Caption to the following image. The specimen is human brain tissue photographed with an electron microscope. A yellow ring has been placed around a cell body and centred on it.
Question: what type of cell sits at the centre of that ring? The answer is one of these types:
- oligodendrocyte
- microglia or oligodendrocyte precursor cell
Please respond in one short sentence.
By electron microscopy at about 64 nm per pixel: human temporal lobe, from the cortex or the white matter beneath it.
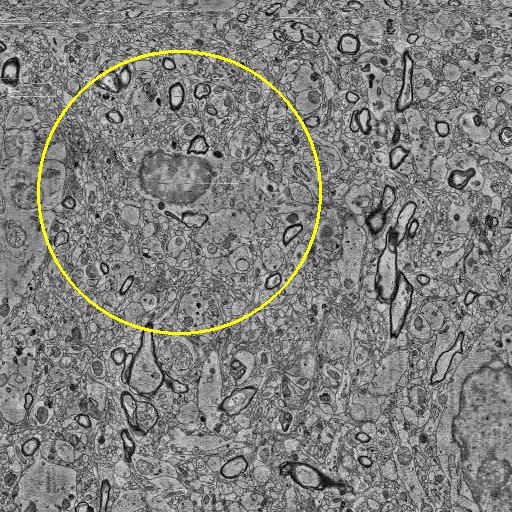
The ring surrounds the cell body of an oligodendrocyte.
